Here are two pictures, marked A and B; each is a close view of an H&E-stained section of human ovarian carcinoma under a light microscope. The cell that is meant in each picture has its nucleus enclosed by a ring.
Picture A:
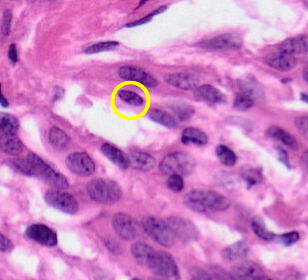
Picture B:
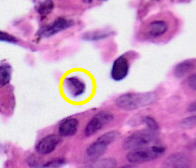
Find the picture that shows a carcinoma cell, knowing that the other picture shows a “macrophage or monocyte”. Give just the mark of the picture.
B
